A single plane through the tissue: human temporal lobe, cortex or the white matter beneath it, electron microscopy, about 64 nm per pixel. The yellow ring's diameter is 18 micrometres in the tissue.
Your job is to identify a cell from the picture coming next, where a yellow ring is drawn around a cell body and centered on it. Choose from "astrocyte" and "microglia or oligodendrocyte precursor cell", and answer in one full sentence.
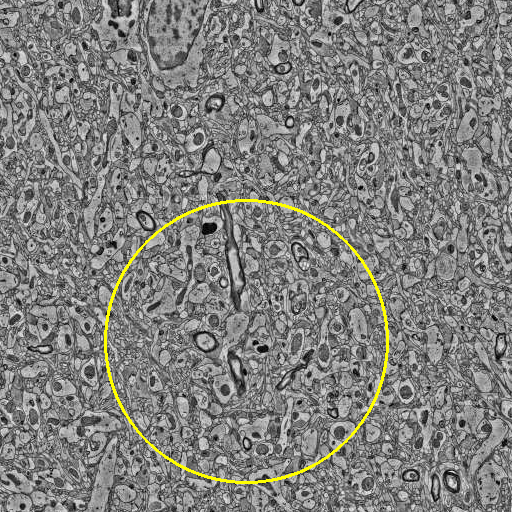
Centered in the yellow ring of the picture is the body of a microglial cell or oligodendrocyte precursor cell.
